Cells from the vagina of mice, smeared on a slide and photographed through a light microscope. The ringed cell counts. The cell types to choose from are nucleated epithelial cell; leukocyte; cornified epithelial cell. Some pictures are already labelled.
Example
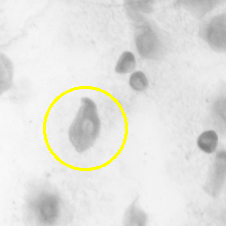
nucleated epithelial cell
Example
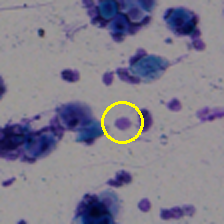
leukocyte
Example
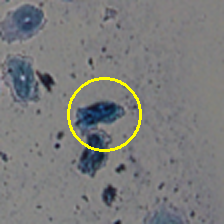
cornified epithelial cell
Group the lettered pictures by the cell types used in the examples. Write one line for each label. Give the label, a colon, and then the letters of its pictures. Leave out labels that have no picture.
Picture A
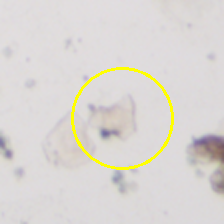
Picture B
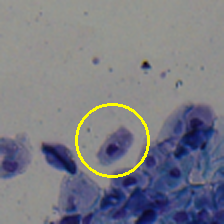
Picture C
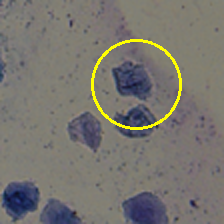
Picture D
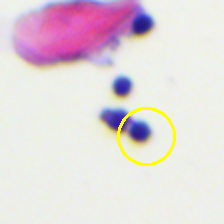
nucleated epithelial cell: B
leukocyte: D
cornified epithelial cell: A, C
